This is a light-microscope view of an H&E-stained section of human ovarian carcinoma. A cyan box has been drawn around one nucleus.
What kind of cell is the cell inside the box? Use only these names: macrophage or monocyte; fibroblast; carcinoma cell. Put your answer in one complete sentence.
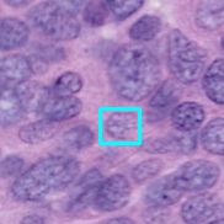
As far as its identity is concerned, the cell inside the box is a carcinoma cell.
